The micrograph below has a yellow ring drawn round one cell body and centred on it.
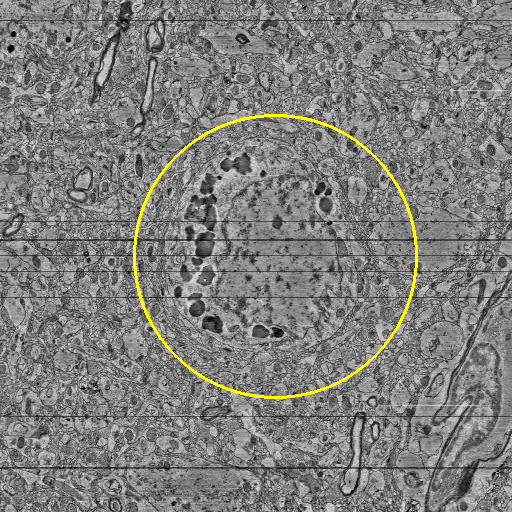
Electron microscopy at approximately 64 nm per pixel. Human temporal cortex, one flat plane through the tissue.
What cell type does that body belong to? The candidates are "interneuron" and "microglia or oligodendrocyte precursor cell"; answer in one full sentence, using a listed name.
This is an interneuron, the cell whose body lies at the centre of the ring.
